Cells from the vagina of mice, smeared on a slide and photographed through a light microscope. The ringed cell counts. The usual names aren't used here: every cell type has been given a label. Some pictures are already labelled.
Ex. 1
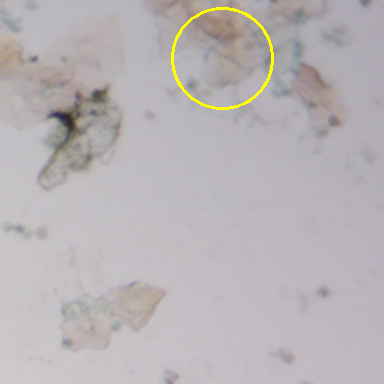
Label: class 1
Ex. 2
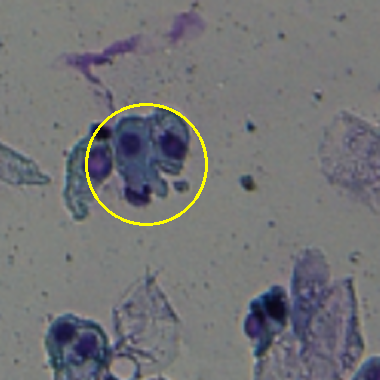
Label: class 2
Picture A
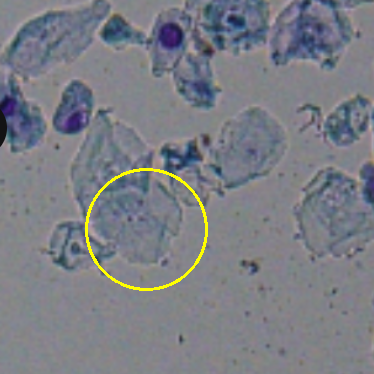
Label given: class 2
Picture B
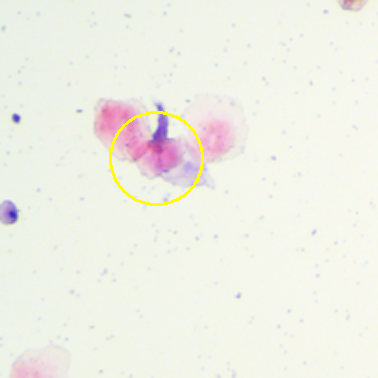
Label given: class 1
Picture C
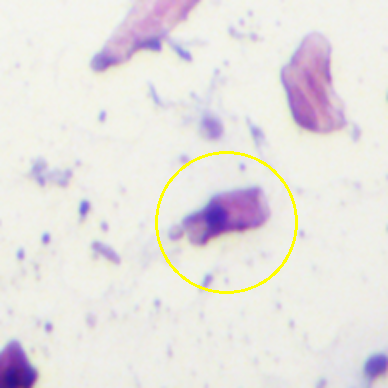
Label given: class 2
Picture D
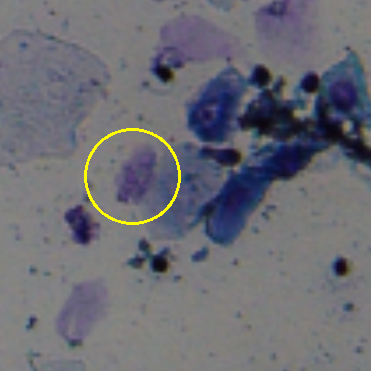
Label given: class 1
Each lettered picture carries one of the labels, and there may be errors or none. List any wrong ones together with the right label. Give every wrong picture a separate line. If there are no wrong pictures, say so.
A should be class 1, not class 2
